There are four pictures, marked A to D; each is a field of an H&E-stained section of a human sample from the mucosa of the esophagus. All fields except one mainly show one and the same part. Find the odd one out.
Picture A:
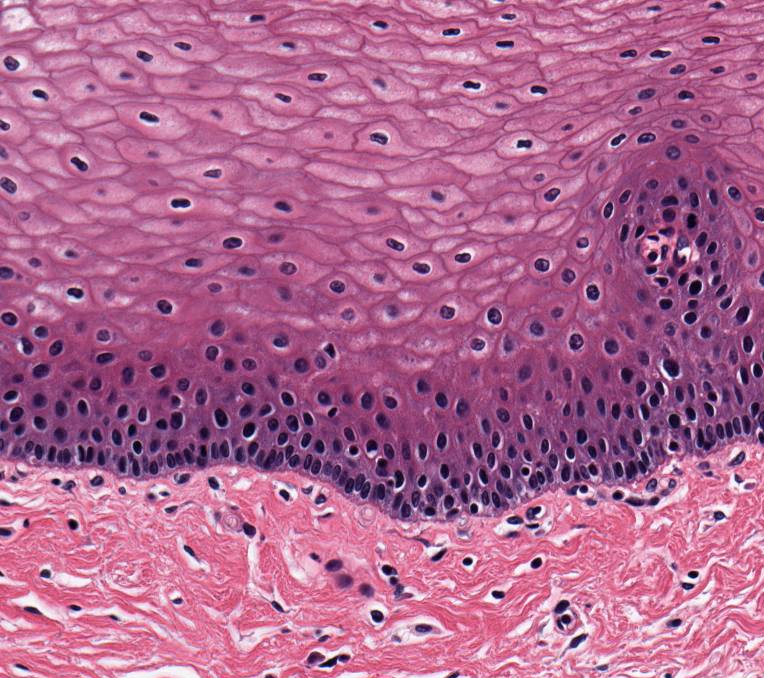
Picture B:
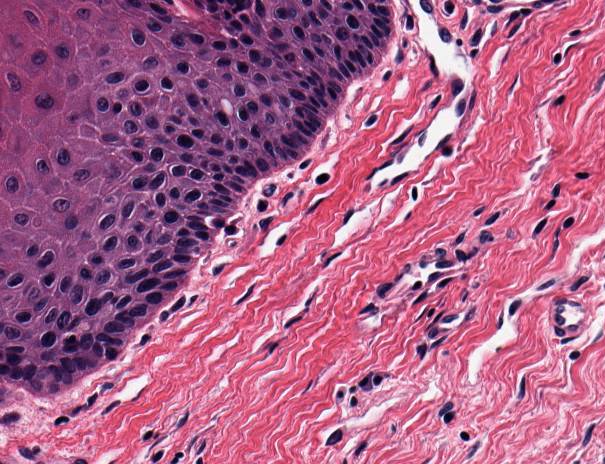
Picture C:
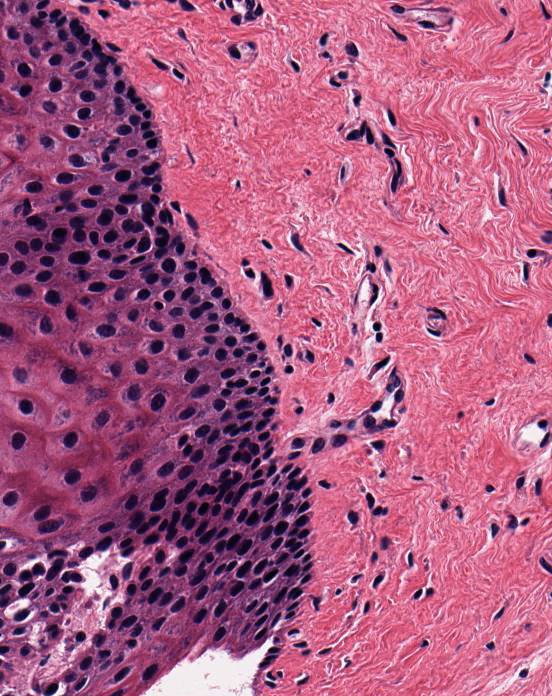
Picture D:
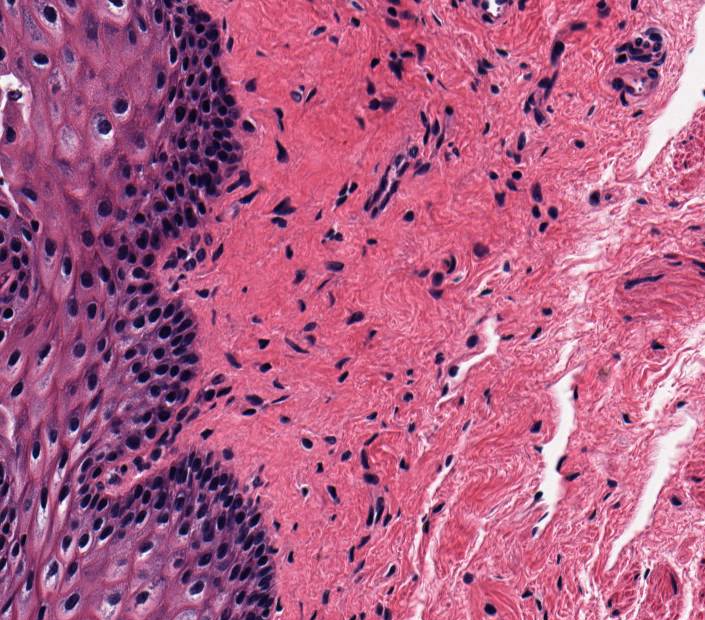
A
